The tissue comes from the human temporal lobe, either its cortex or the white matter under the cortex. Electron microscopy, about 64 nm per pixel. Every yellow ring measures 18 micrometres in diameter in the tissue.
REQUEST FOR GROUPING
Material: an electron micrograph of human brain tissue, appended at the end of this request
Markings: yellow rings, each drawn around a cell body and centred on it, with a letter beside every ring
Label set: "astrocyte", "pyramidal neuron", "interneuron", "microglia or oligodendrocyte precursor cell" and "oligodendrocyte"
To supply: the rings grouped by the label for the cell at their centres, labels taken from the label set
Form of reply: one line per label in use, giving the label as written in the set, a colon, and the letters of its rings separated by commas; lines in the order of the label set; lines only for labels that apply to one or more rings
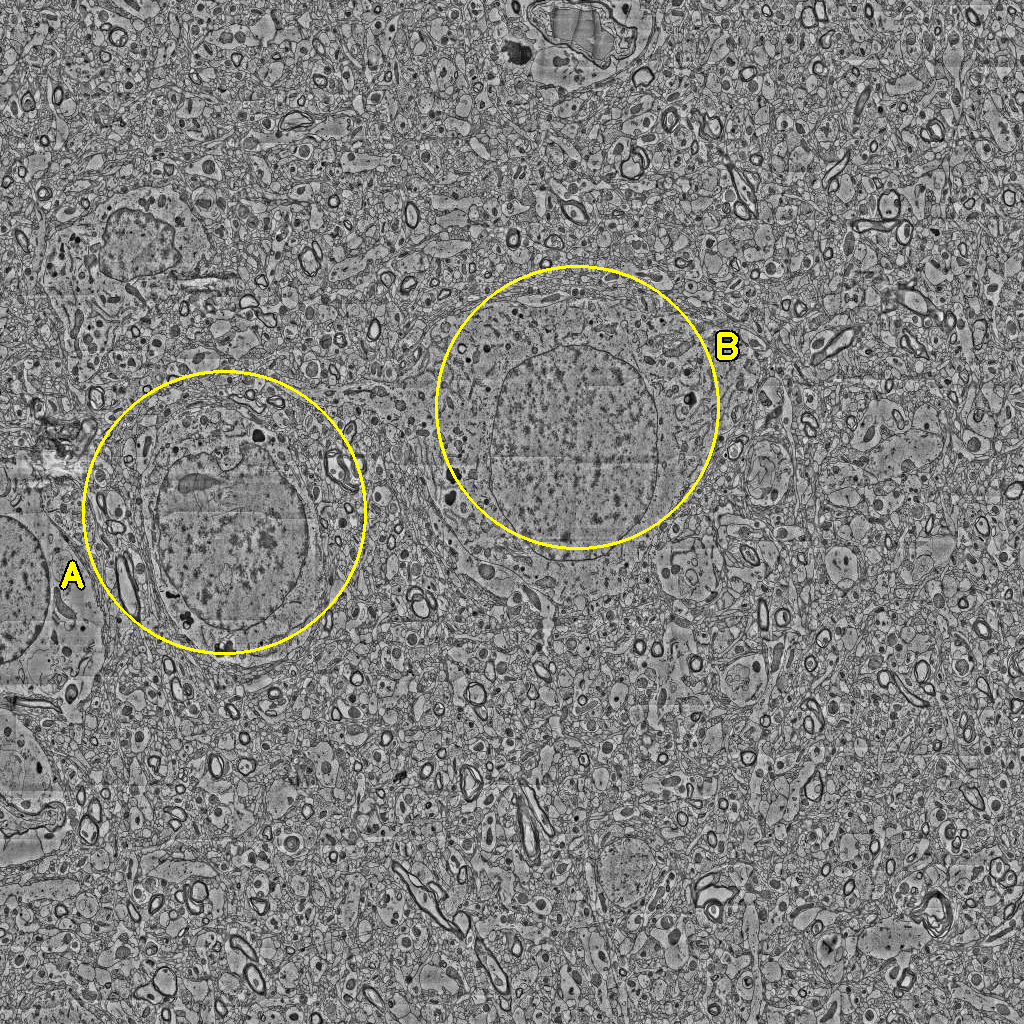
pyramidal neuron: B
interneuron: A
